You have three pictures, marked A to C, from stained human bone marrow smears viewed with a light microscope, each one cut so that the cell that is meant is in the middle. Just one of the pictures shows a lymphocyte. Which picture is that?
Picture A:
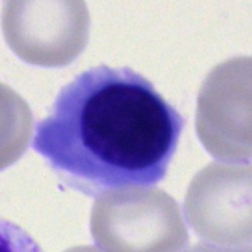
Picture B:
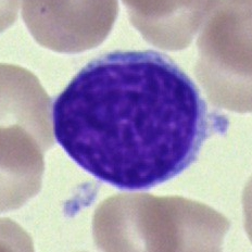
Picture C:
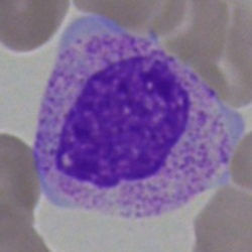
B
